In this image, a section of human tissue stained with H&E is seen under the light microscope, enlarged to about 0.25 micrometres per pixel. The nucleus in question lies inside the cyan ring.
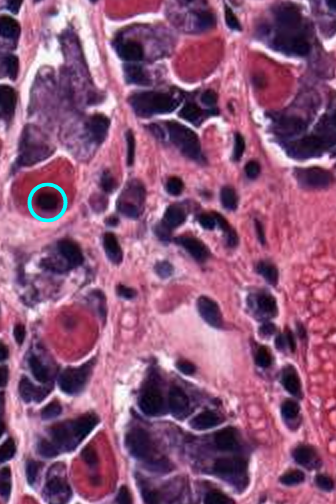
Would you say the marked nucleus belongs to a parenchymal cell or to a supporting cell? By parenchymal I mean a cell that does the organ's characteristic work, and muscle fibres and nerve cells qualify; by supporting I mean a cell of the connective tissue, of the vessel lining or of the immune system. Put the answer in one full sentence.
The cell whose nucleus is marked is a parenchymal cell, namely a parietal cell.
